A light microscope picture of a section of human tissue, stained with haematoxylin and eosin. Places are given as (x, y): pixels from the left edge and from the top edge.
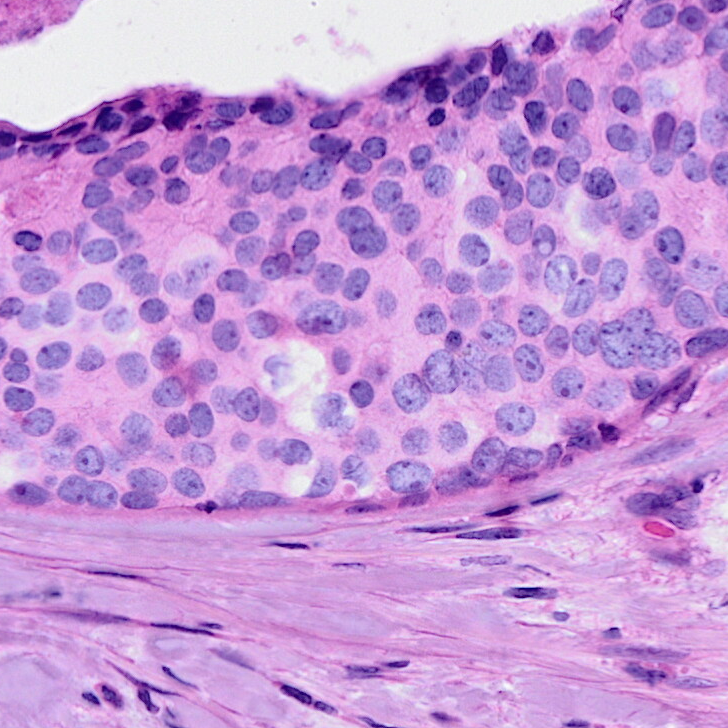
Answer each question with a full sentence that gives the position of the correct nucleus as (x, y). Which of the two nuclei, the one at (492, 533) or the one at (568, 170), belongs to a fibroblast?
Lying within a fibroblast is the nucleus at (492, 533).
